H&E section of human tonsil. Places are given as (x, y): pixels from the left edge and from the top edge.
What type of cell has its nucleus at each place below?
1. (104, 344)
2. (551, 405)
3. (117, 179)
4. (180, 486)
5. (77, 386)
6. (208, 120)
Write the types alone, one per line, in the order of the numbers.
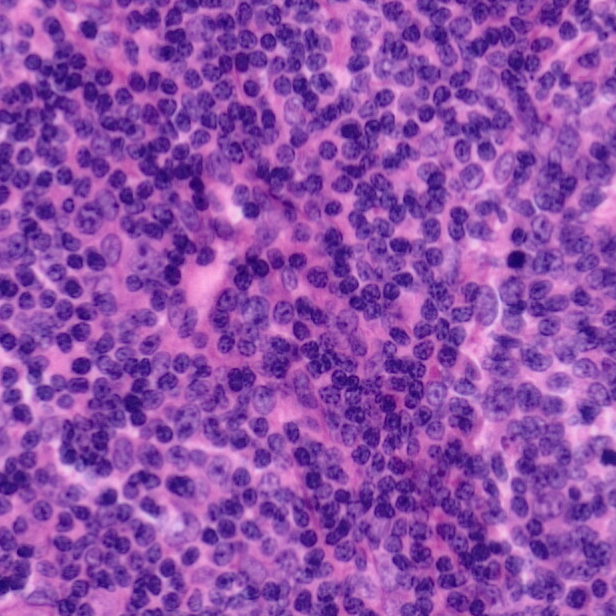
small lymphocyte
proliferating B cell
small lymphocyte
proliferating B cell
small lymphocyte
small lymphocyte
